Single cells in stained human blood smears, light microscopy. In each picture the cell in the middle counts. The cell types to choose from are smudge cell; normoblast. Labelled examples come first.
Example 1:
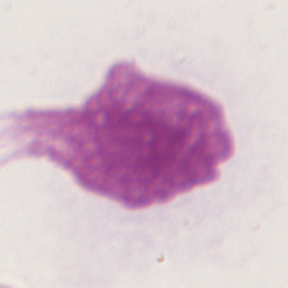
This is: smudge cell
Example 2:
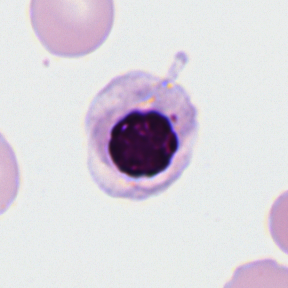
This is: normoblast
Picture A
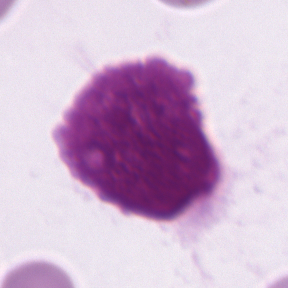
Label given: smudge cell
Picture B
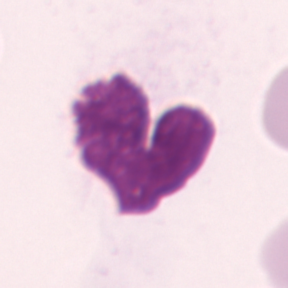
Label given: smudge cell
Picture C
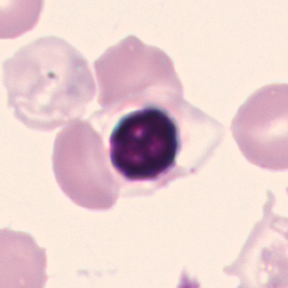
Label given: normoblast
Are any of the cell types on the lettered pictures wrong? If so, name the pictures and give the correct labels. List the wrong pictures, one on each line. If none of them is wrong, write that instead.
Nothing to fix; every label fits.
